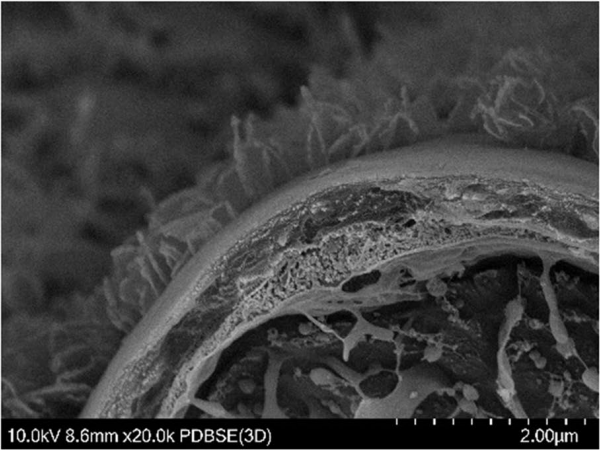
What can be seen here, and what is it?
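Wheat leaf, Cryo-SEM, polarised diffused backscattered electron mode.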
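The outer edge of a leaf cell is seen at high magnification, with thin flake-like surface wax crystals standing up from the leaf surface. Beneath them a smooth curved band of surface layers covers the cell wall.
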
